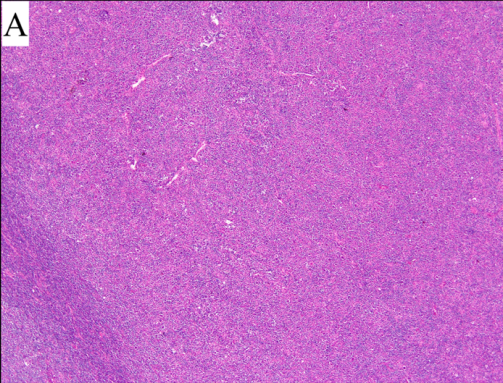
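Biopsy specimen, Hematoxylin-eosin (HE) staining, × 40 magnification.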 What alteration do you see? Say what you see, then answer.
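Diffuse infiltrate. A sheet of densely packed cells fills almost the whole field. No clear follicles or sinuses are seen across the field.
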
